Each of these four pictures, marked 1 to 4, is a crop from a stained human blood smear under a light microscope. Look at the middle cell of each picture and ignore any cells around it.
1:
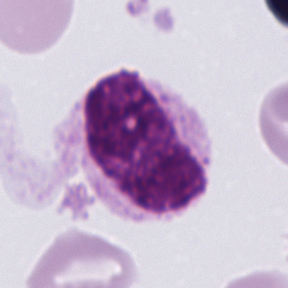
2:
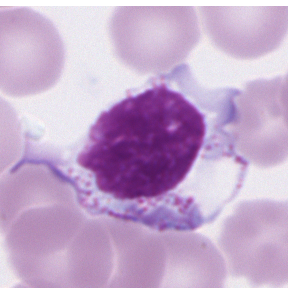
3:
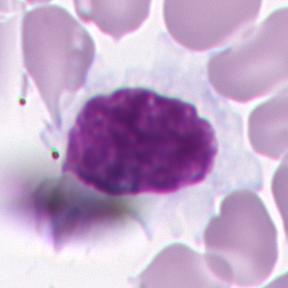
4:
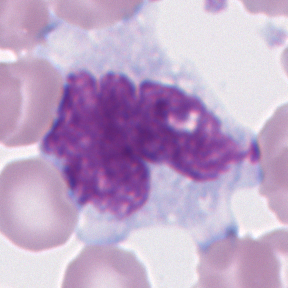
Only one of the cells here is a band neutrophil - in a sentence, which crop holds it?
The crop showing a band neutrophil in this series is crop 1.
